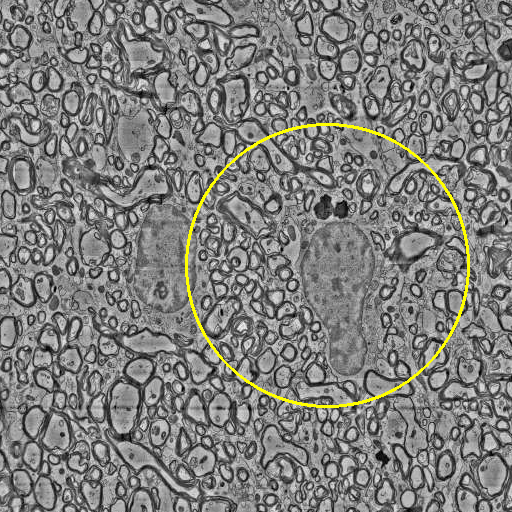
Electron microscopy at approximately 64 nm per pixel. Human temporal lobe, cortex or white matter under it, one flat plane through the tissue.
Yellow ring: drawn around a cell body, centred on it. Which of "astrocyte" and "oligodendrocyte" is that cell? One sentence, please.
That cell body is from an oligodendrocyte.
